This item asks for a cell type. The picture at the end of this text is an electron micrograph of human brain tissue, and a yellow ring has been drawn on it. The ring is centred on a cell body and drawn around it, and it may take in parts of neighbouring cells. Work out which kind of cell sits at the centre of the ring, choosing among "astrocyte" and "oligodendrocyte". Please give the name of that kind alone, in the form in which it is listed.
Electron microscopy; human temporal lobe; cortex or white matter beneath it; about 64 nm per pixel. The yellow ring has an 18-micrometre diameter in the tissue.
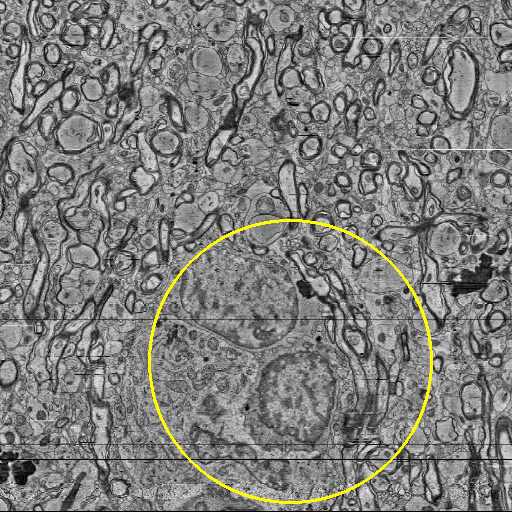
oligodendrocyte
